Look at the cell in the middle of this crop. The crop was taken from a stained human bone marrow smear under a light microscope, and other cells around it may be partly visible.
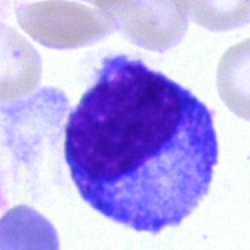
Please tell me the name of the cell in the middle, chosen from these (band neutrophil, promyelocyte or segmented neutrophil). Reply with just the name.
promyelocyte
